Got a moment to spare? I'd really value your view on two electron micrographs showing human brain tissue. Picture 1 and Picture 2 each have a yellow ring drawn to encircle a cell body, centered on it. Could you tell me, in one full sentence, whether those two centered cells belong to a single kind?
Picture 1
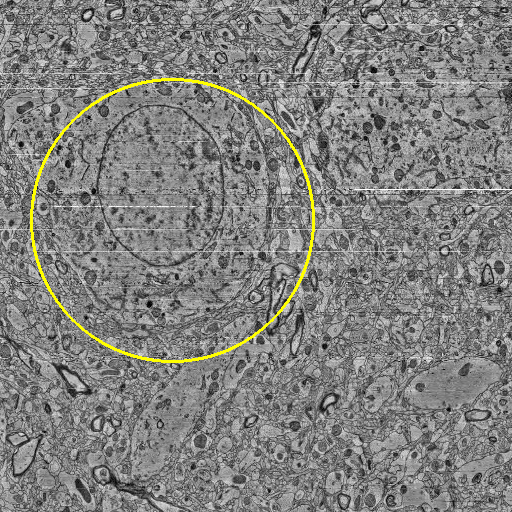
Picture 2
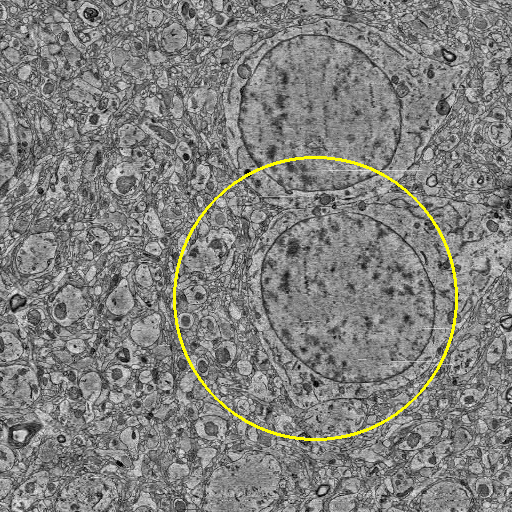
Yes, the two centered cells in Picture 1 and Picture 2 are of a single kind.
